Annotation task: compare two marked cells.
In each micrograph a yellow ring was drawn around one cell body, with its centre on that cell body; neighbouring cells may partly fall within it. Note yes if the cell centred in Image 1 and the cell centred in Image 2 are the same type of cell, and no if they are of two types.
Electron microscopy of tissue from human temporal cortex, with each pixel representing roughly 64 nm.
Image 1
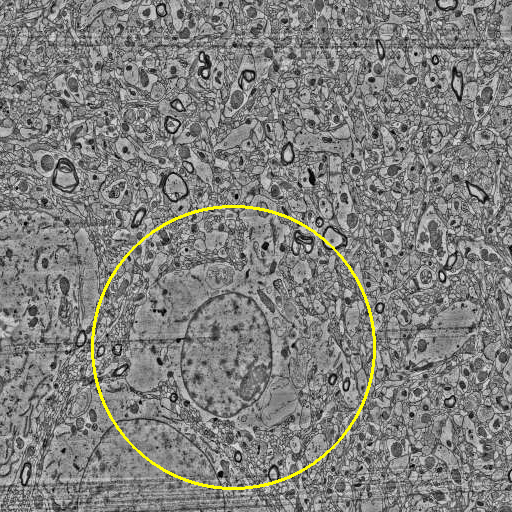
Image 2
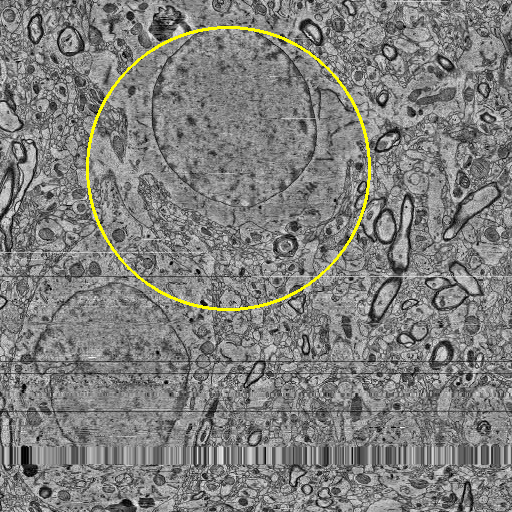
yes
